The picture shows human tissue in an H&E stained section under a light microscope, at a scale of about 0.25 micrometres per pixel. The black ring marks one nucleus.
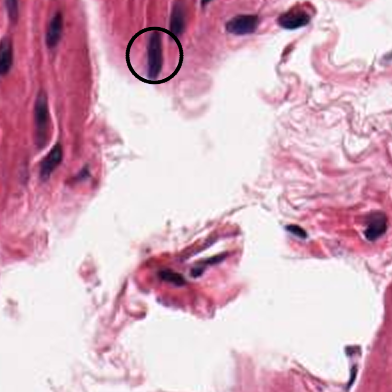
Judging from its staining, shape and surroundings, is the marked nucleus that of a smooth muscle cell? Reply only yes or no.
yes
